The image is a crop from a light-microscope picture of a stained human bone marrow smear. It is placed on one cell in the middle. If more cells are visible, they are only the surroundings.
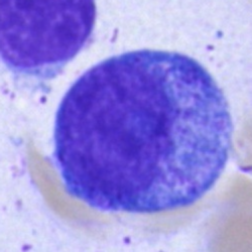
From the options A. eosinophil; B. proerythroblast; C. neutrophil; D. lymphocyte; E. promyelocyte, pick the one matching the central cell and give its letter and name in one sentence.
Option E gets it right: the cell in the middle is a promyelocyte.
